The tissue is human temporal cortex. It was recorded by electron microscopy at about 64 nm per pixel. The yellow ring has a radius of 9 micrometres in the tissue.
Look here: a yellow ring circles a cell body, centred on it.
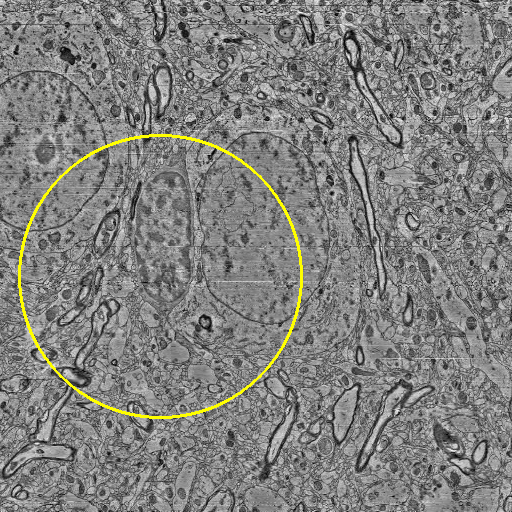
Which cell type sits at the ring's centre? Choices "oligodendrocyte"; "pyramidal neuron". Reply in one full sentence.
The cell at the centre of the yellow ring in the picture is an oligodendrocyte.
